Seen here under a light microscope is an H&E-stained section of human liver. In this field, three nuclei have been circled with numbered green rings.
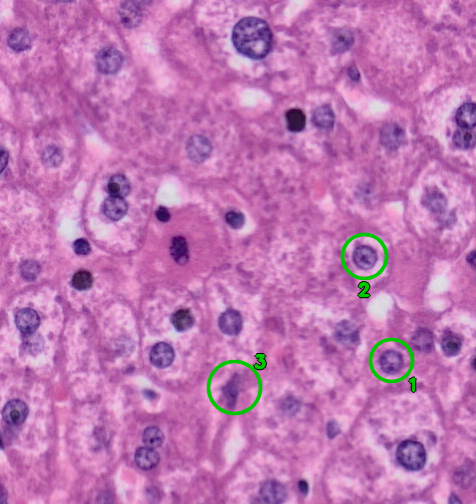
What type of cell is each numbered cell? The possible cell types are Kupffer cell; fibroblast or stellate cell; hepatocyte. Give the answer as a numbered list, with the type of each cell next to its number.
1. hepatocyte
2. hepatocyte
3. Kupffer cell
